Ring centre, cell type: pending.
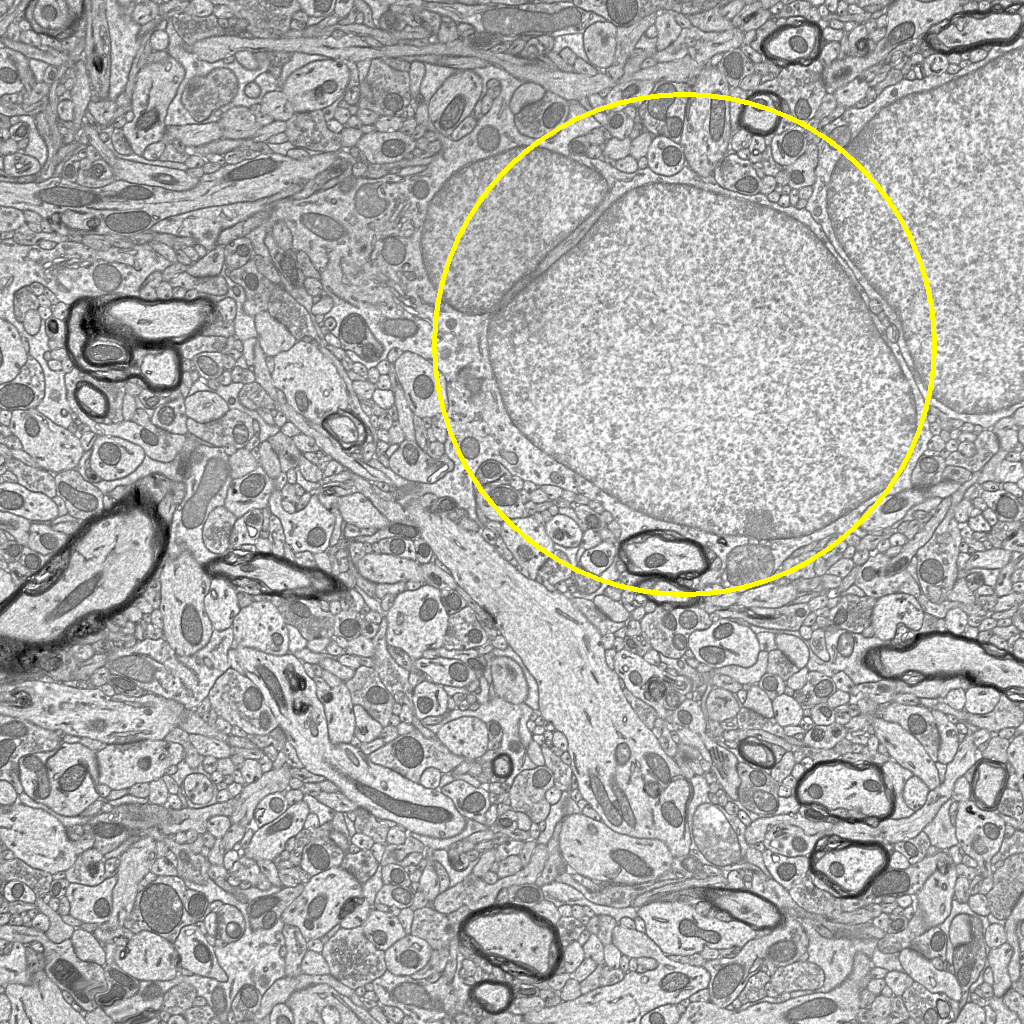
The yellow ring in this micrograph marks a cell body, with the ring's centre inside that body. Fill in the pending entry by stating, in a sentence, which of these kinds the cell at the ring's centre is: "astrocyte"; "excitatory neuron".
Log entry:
The cell at the ring's centre is recorded as an astrocyte.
